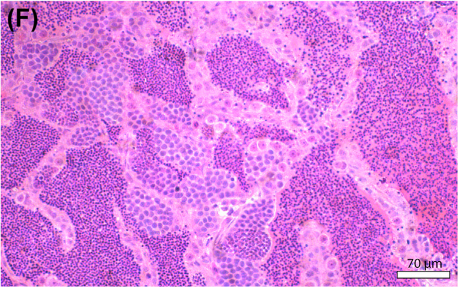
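This is testis tissue with seminiferous tubules crowded with germ cells at different stages of development. Large areas are filled with small, tightly packed dark purple nuclei, while other groups consist of larger rounded cells with pale pink cytoplasm and rounder nuclei. Pale pink partitions run between the groups of cells.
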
